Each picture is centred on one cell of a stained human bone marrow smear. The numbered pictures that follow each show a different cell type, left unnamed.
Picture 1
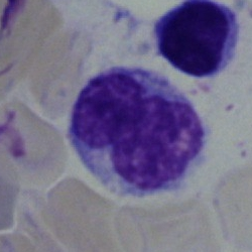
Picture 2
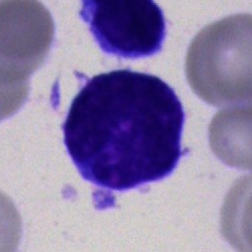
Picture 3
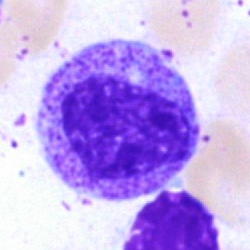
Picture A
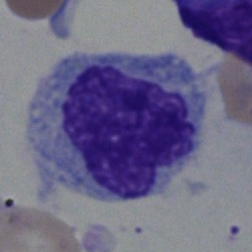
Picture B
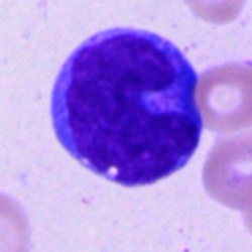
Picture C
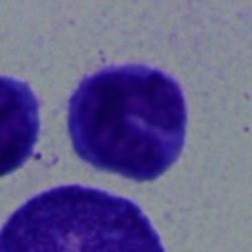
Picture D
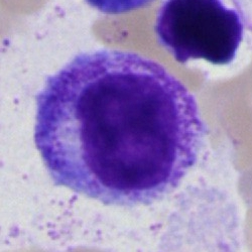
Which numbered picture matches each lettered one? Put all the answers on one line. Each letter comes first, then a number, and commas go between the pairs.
A 1, B 1, C 1, D 3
